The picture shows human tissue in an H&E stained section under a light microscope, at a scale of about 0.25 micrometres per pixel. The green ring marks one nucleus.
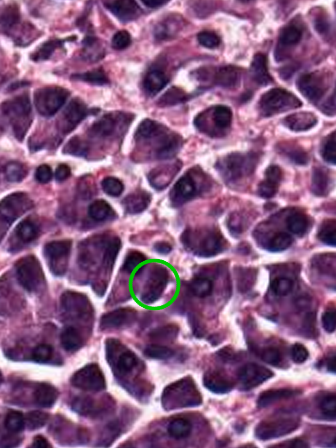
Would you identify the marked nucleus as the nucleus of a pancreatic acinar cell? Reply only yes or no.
yes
